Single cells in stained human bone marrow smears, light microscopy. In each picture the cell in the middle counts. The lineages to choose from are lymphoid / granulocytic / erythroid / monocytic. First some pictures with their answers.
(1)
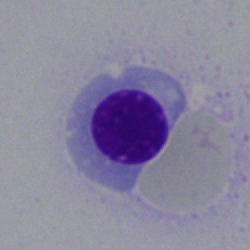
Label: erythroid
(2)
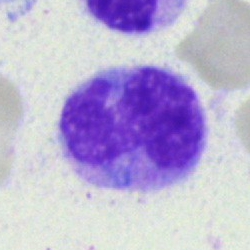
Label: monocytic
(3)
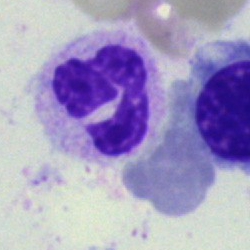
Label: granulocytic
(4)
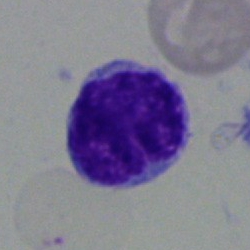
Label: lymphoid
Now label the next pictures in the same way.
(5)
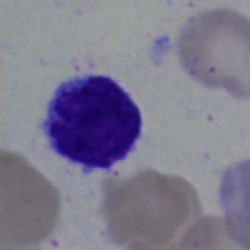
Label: lymphoid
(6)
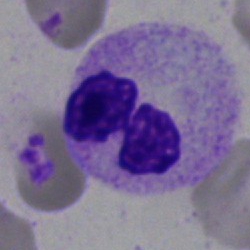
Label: granulocytic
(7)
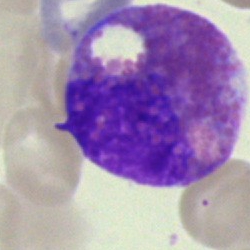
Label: granulocytic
